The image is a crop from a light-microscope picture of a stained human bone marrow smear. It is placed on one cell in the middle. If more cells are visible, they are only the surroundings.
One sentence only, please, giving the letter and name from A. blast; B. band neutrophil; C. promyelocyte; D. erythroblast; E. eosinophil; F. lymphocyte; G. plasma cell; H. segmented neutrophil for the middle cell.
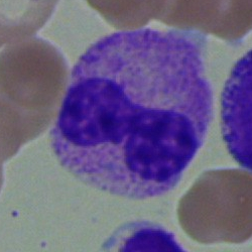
The cell in the middle is a band neutrophil, so option B is correct.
